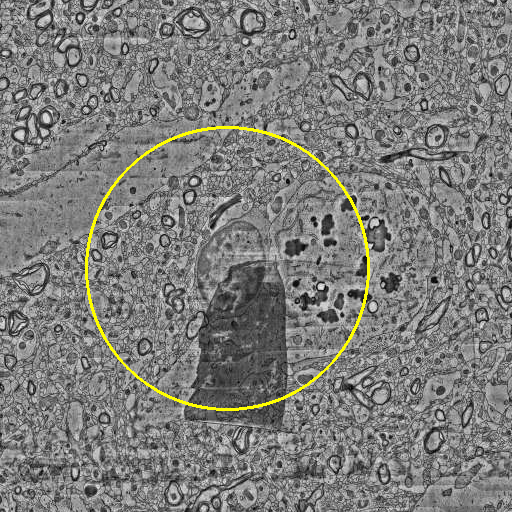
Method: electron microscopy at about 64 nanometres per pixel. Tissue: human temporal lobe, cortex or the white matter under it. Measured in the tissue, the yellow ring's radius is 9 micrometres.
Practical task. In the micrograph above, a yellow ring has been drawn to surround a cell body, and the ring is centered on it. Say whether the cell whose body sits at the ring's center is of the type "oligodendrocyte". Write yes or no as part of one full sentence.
Yes, the cell at the center of the ring above is of the type asked about.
